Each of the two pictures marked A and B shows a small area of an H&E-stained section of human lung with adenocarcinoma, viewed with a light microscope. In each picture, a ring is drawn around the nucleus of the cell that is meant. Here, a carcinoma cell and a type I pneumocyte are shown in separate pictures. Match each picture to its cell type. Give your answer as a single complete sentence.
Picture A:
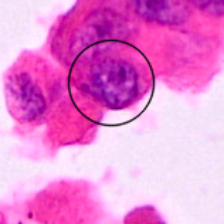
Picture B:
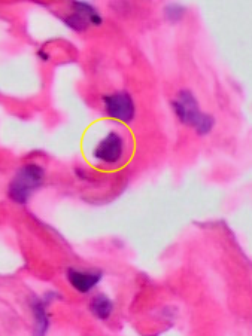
In picture A the cell is a carcinoma cell; in picture B, a type I pneumocyte.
